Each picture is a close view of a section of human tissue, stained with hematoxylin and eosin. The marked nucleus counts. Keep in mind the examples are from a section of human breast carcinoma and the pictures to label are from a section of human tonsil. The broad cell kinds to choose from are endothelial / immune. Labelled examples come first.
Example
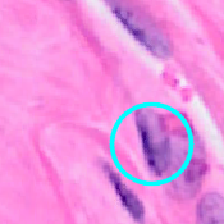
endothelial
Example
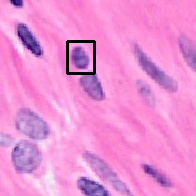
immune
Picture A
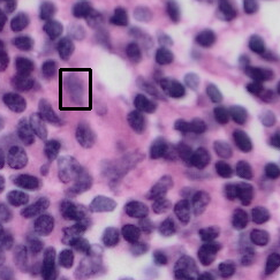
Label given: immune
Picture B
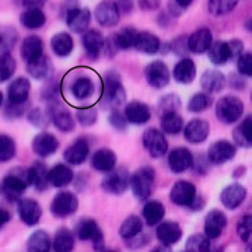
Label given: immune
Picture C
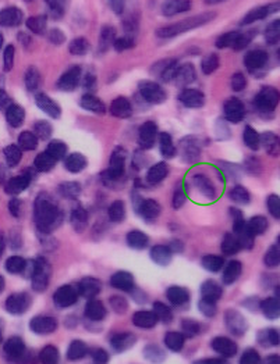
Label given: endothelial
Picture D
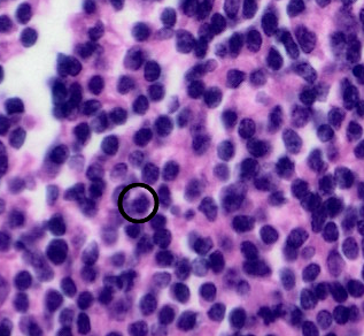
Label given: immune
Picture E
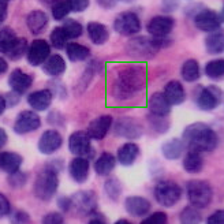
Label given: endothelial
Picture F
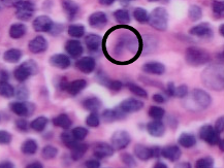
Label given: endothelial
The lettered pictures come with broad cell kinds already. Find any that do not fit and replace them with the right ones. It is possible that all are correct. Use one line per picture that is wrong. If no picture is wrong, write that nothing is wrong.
A: not immune but endothelial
